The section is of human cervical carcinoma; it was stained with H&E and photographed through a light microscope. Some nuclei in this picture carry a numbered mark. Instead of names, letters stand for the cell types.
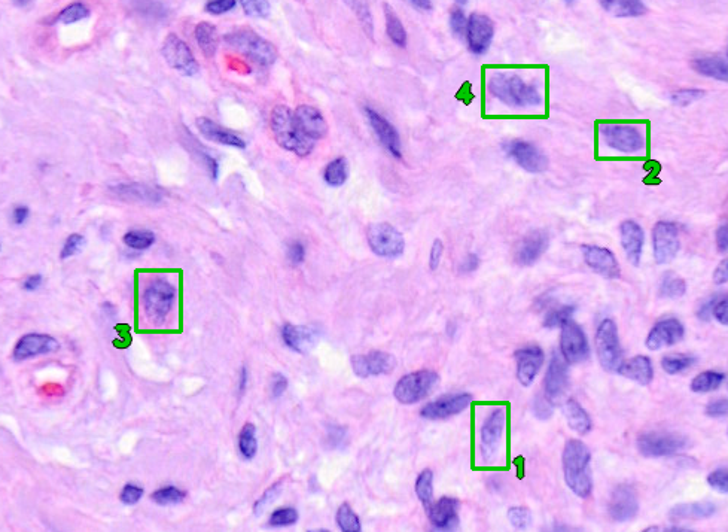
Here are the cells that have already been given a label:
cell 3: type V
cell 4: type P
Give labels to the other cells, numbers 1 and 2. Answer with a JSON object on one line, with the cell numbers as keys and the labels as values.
{"1": "type P", "2": "type P"}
